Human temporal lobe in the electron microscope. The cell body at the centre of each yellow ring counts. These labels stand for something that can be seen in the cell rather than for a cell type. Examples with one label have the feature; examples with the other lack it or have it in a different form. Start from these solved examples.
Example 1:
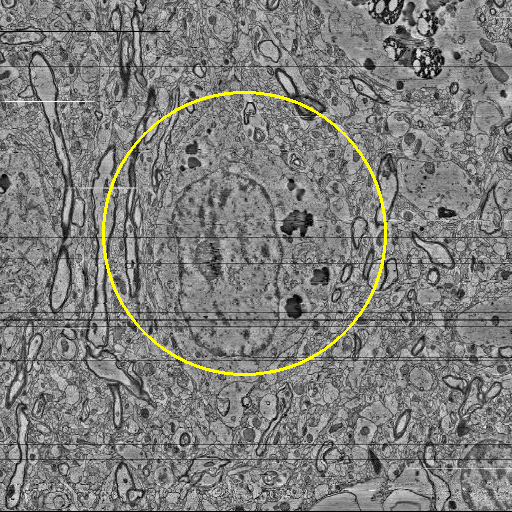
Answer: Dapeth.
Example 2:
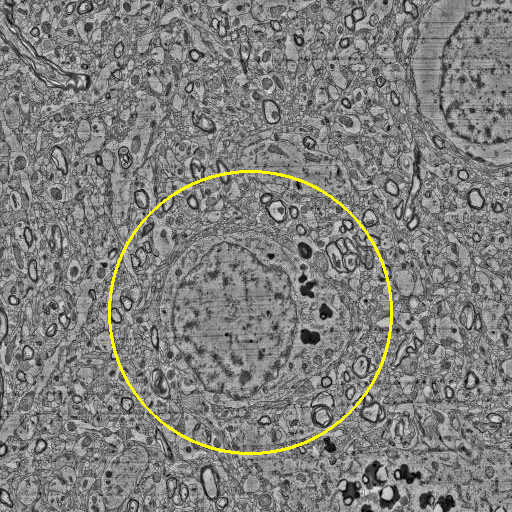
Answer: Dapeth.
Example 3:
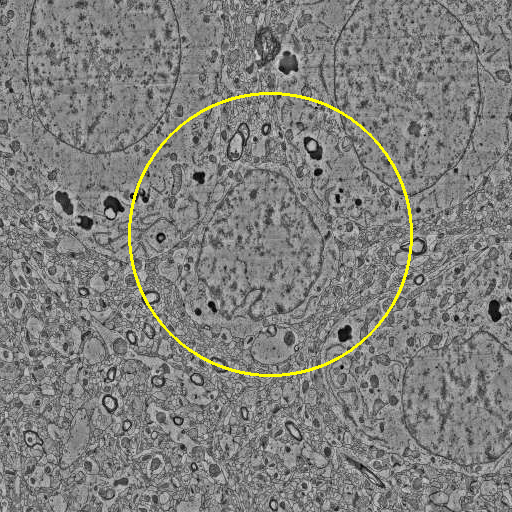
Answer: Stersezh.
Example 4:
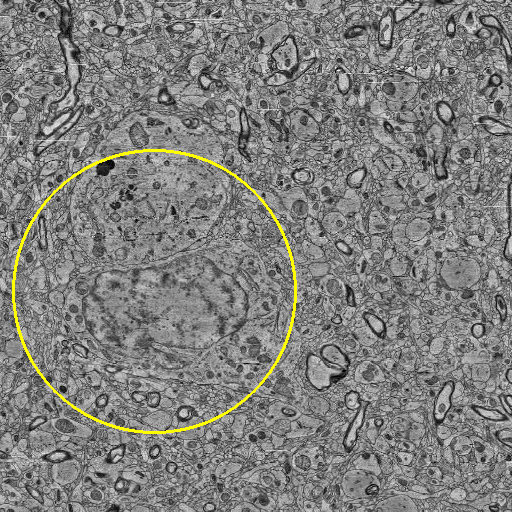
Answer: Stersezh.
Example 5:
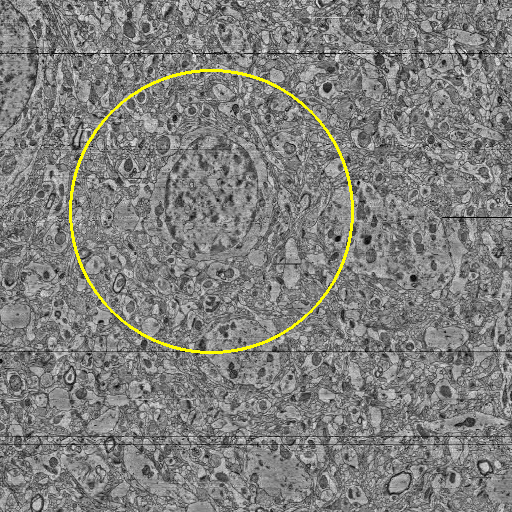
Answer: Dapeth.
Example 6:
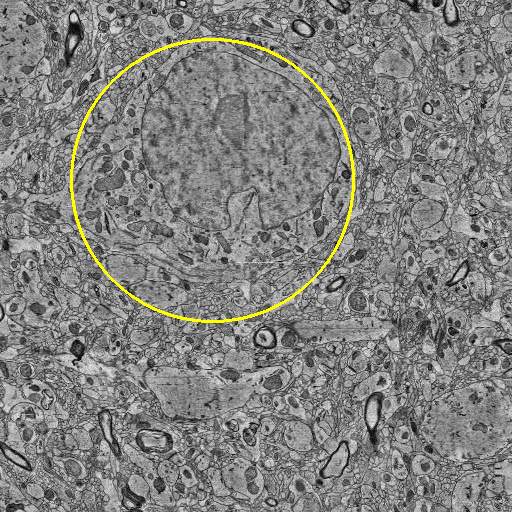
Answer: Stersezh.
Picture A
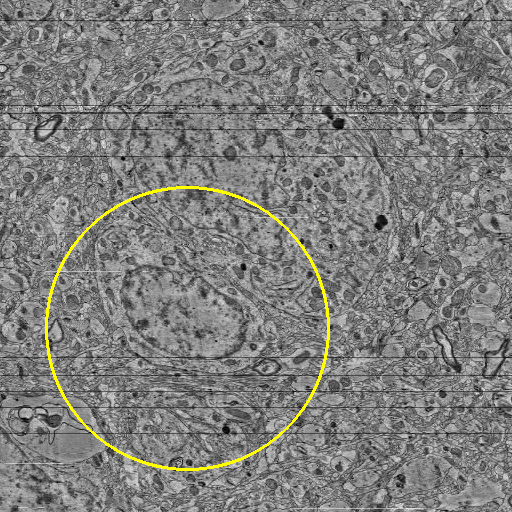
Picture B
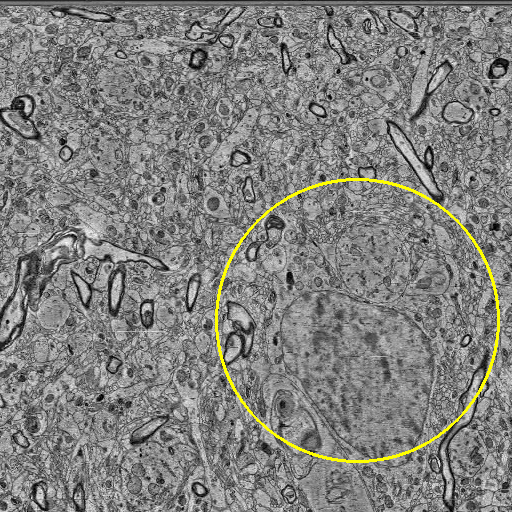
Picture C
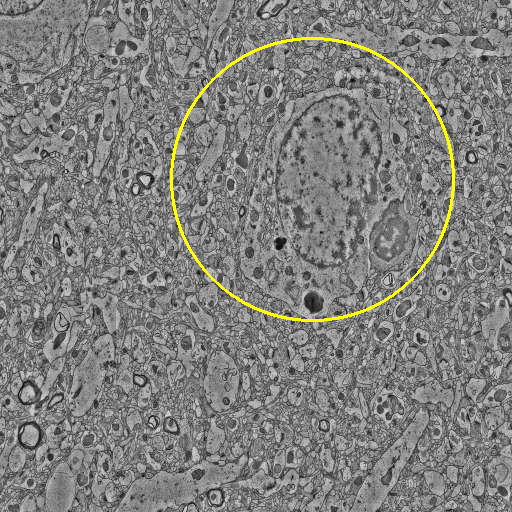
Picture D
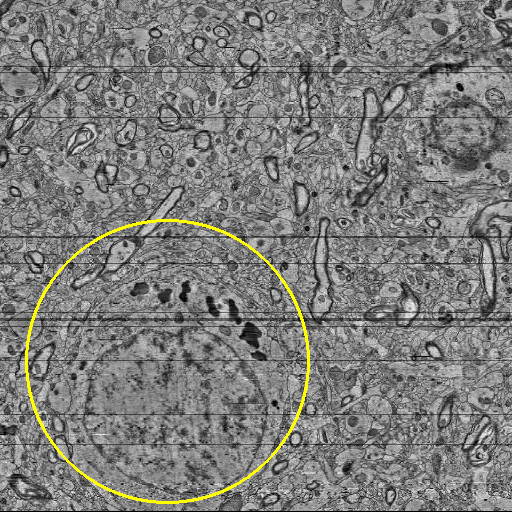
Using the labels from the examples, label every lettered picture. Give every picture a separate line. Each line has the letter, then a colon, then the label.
A: Dapeth.
B: Dapeth.
C: Dapeth.
D: Dapeth.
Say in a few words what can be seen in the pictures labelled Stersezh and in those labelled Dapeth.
In Stersezh: deeply folded or indented nuclear envelopes. In Dapeth: smooth nuclear envelopes without deep folds.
